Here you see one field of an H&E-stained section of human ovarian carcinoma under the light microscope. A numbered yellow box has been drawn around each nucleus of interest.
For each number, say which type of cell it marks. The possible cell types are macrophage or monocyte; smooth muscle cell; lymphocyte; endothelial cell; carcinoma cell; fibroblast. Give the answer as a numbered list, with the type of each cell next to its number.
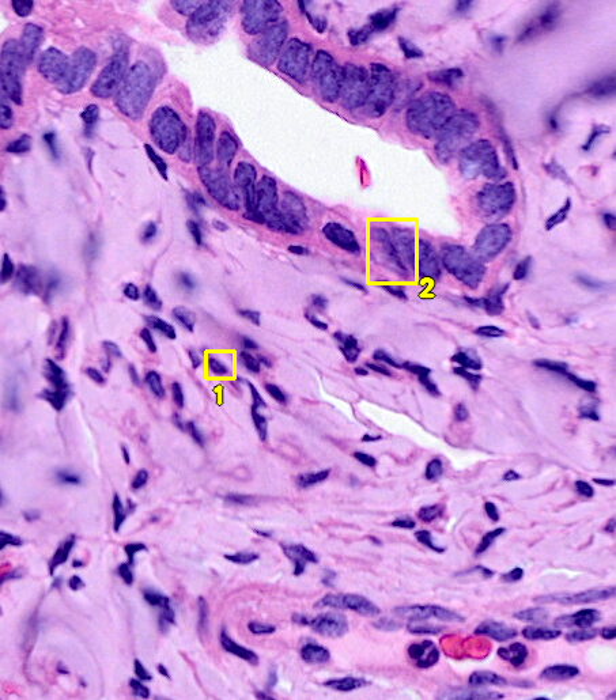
1. smooth muscle cell
2. carcinoma cell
